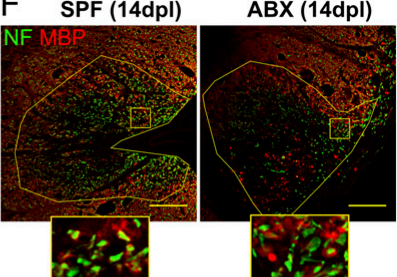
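Cross-sectioned white matter containing lesions, outlined in yellow, shows axons as densely packed green dots and short rods. Myelin sheaths appear red, forming rings or crescents around or beside some of the green axon profiles.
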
